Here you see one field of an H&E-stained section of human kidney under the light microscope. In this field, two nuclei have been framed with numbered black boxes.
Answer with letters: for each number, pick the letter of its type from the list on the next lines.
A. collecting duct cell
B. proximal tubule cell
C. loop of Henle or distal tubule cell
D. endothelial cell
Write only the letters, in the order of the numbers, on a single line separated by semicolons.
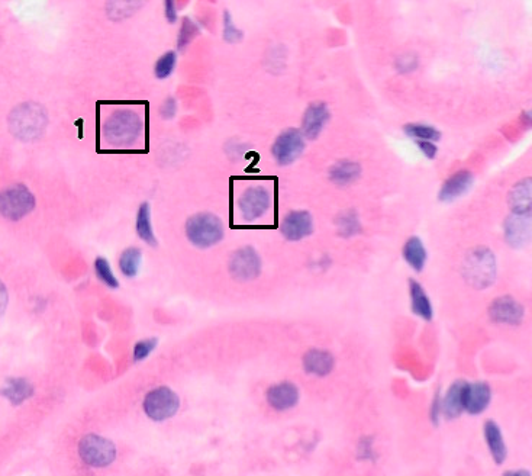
B; C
